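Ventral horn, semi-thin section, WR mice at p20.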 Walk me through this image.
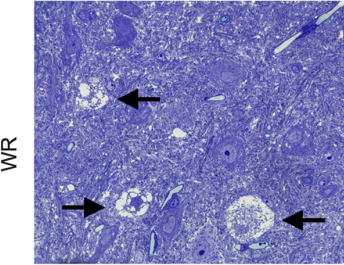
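Three of them are rounded and swollen, their cell bodies replaced by pale, foamy, vacuolated material with little stained cytoplasm left. Beside them are other large neurons with more uniformly stained purple-blue cytoplasm and angular outlines. The surrounding neuropil is blue and finely fibrous, with scattered small nuclei and pale vessel spaces. The vacuolated profiles stand out clearly against the darker tissue around them.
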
